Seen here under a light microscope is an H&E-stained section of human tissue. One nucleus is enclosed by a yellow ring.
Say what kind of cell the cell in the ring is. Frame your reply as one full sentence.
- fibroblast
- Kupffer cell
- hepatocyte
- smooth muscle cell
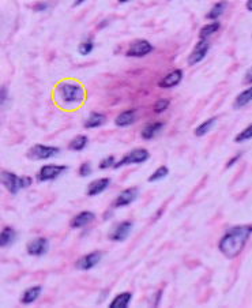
Recorded by type, the cell in the ring is a smooth muscle cell.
